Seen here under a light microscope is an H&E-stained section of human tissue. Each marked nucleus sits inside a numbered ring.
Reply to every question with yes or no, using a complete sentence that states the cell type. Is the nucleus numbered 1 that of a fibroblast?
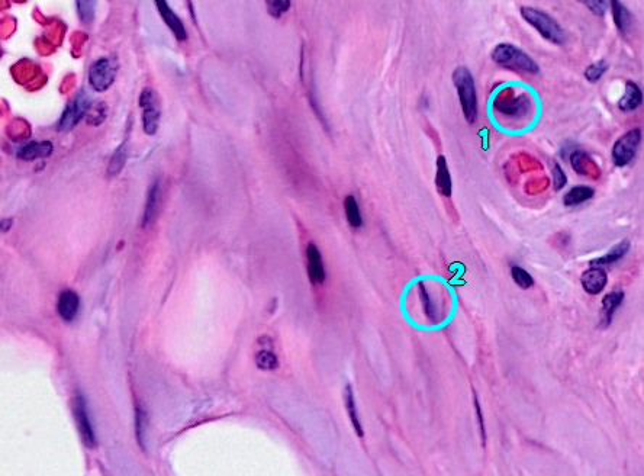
No, it is not a fibroblast that bears number 1 but an endothelial cell.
